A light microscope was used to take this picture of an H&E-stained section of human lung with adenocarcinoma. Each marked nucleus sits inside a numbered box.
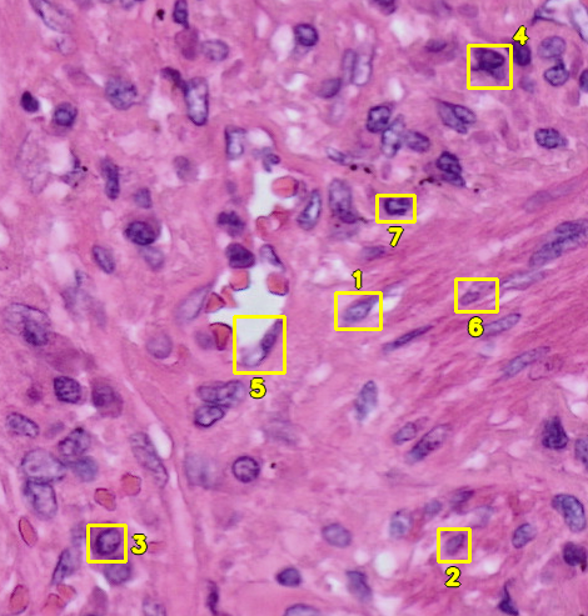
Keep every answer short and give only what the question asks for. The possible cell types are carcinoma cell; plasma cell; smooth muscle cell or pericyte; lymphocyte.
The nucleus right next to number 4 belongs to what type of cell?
plasma cell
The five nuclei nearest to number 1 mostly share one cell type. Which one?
smooth muscle cell or pericyte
